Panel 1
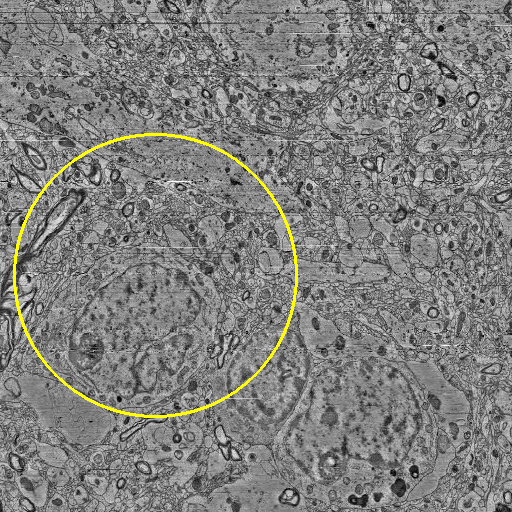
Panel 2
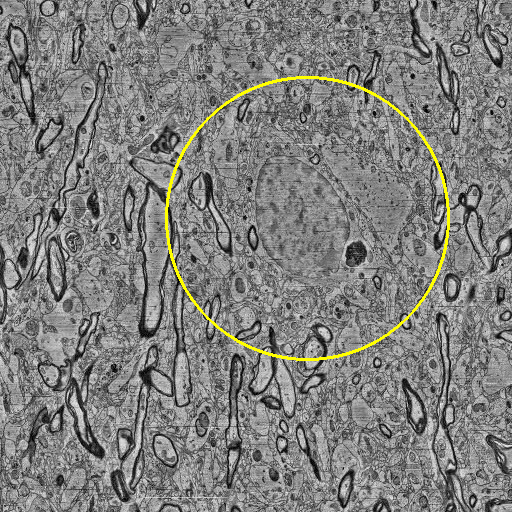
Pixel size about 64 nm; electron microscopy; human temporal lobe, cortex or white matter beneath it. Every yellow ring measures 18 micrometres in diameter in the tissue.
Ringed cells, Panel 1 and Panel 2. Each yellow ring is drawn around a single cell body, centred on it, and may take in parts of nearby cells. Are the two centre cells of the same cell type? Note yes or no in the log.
no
